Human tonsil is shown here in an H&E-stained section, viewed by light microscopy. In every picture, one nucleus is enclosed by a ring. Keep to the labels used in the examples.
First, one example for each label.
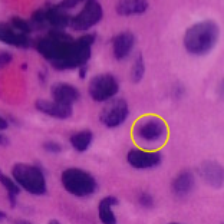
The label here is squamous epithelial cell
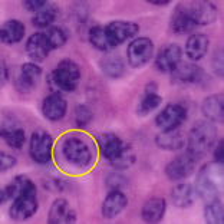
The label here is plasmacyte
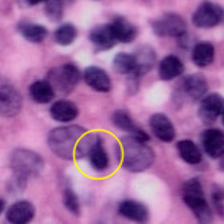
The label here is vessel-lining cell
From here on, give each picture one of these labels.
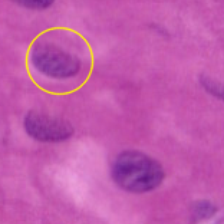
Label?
squamous epithelial cell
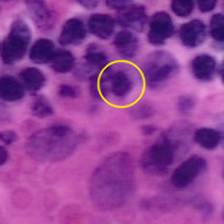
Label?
vessel-lining cell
